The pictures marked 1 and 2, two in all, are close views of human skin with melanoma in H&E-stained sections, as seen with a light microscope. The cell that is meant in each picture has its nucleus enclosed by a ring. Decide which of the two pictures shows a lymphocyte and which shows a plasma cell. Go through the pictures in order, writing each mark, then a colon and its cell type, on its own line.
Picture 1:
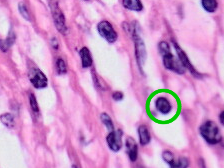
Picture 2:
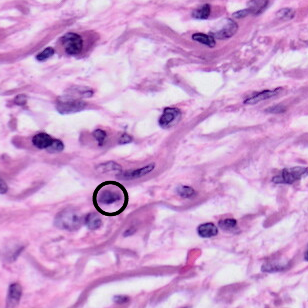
1: lymphocyte
2: plasma cell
